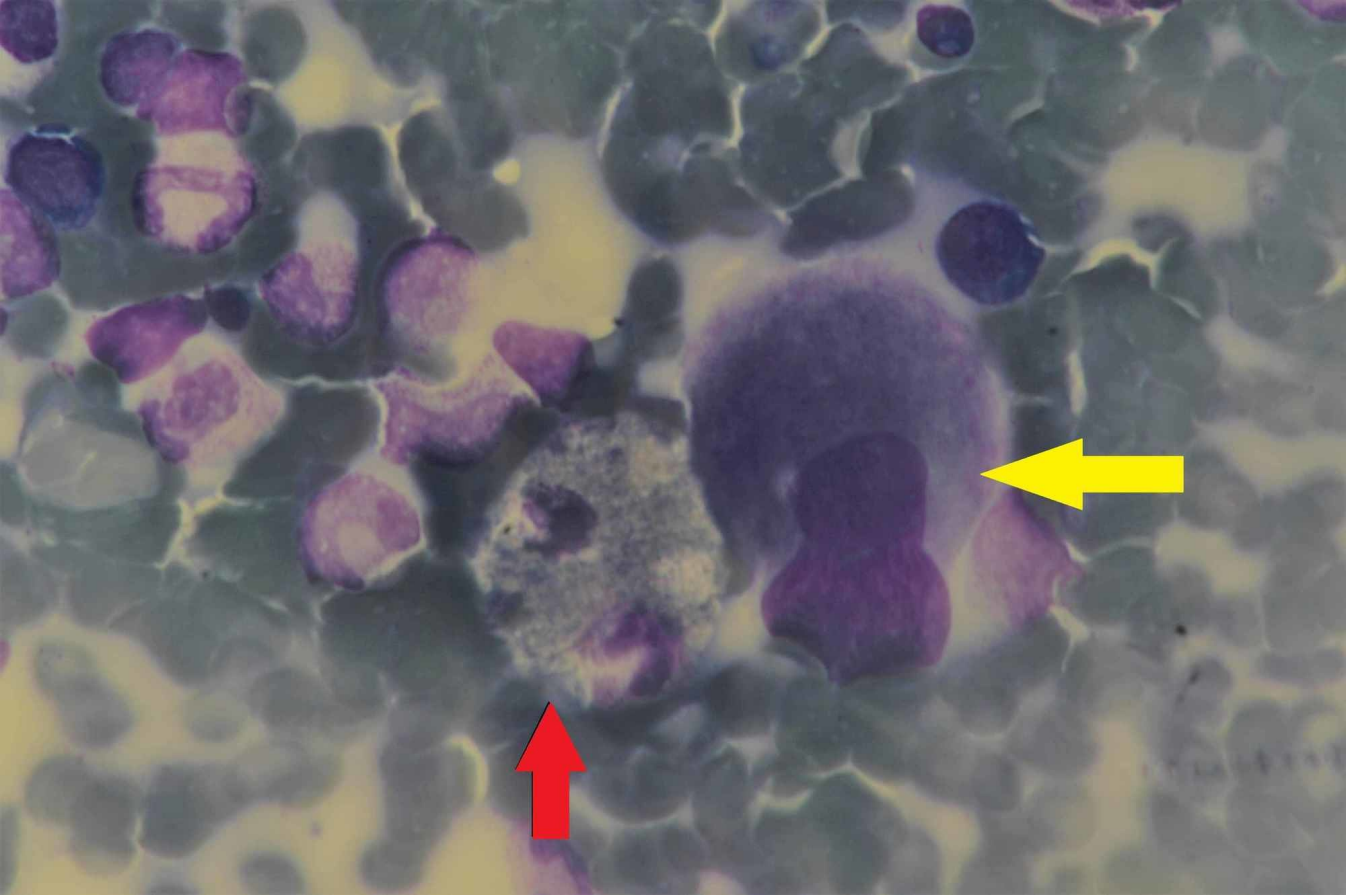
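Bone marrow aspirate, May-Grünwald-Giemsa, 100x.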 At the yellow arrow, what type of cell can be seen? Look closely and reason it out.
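Hypolobated megakaryocytes. A very large cell, much bigger than the surrounding marrow cells. Abundant purple cytoplasm. A nucleus with only one or two rounded lobes rather than many lobes.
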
